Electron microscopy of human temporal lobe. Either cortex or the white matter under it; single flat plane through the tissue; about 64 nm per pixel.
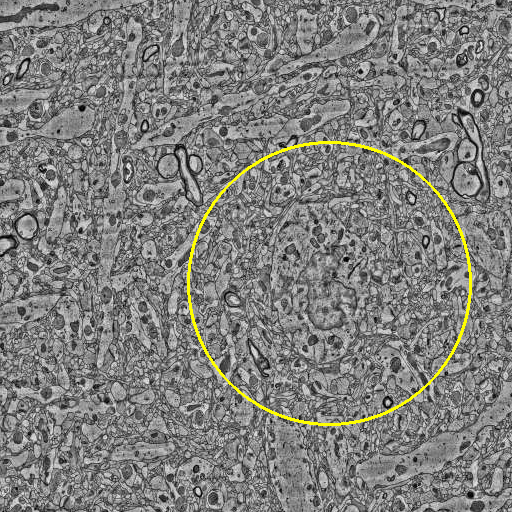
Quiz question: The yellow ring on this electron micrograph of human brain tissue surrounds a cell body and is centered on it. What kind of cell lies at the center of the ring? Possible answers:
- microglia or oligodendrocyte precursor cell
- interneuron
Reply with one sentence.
The ring's center lies on an interneuron.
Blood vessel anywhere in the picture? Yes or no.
No, none is visible.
